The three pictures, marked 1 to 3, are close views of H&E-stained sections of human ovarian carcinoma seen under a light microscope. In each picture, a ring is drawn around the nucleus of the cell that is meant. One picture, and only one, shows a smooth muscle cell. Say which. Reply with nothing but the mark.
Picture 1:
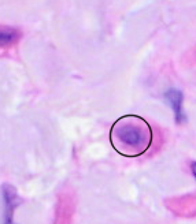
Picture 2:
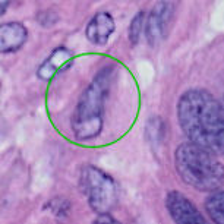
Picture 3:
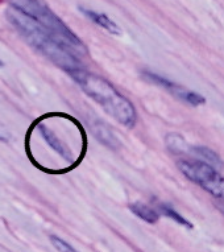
1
